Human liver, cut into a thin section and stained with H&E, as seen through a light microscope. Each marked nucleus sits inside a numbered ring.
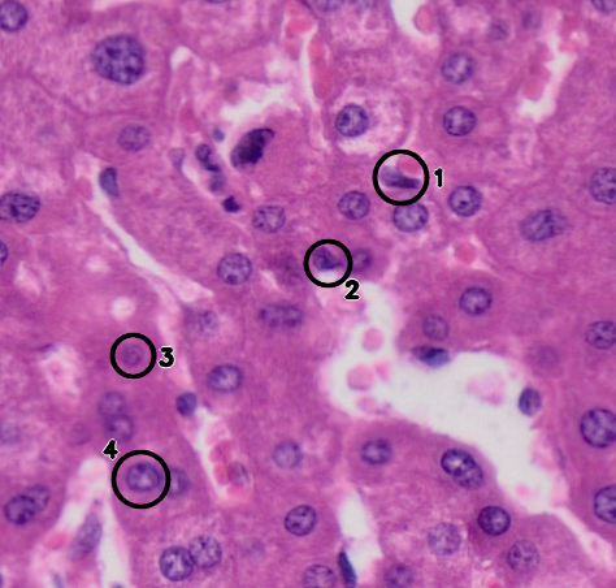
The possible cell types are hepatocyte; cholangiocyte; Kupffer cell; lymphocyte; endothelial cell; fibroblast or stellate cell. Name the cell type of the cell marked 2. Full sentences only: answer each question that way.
As for number 2, that cell is a fibroblast or stellate cell.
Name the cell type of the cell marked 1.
Cell 1, among those numbered, is an endothelial cell.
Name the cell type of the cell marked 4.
Identified as a hepatocyte is the cell bearing the number 4.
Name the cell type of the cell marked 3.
The cell that carries the label 3 is a hepatocyte.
